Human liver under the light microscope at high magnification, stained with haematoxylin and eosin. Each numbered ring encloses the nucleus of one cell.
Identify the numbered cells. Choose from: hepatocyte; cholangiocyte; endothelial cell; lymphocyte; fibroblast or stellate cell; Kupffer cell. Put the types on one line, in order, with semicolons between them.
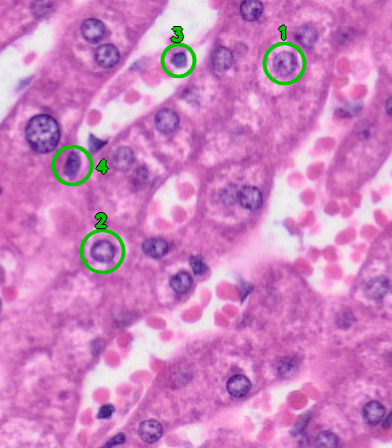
hepatocyte; hepatocyte; lymphocyte; fibroblast or stellate cell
